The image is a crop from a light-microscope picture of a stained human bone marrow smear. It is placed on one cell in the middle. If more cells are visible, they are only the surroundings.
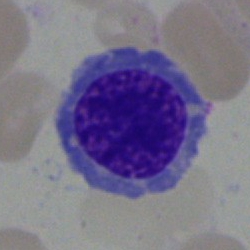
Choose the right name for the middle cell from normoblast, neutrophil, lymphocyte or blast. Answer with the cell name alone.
normoblast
